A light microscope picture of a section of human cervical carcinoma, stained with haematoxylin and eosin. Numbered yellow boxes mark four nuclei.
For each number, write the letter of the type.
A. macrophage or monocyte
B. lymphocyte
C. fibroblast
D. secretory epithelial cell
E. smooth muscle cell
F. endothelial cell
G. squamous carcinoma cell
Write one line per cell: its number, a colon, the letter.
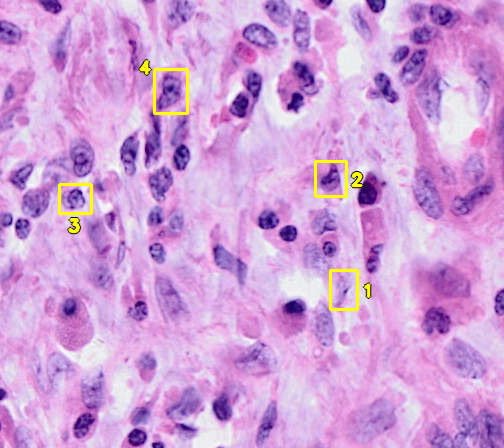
1: C
2: A
3: B
4: A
